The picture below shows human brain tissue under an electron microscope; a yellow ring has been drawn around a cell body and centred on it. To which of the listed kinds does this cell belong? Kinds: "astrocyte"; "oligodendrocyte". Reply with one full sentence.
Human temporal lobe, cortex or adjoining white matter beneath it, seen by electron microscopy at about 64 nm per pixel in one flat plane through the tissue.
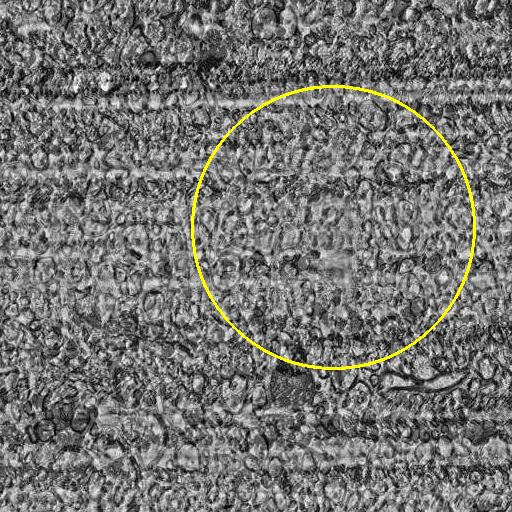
It is an astrocyte that the yellow ring in the picture is centred on.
